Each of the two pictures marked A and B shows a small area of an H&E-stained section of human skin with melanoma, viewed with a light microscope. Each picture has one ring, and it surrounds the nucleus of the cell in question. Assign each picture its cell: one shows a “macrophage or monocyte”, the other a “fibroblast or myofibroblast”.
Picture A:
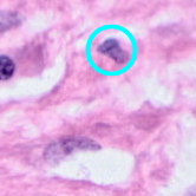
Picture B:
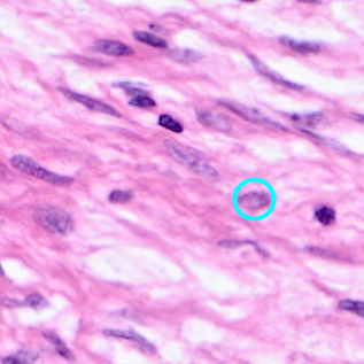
A: macrophage or monocyte
B: fibroblast or myofibroblast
